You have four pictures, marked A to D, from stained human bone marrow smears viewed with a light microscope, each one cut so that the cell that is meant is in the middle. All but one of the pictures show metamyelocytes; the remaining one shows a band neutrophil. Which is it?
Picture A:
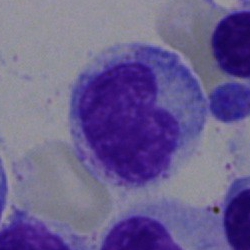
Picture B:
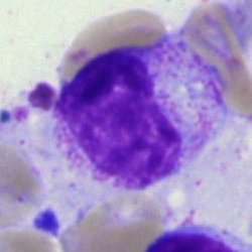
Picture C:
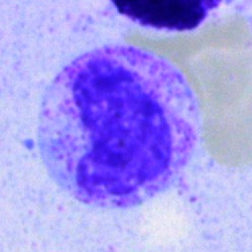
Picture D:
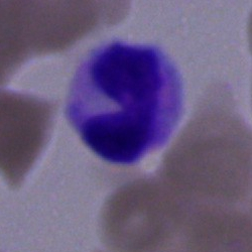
D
